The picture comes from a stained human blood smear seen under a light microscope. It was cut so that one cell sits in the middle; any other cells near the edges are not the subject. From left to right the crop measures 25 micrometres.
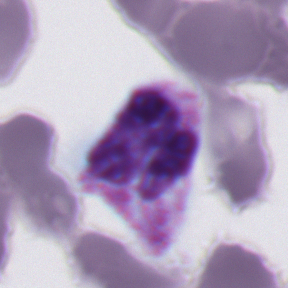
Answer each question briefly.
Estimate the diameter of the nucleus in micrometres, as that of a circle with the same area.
8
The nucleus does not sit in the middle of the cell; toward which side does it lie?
top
